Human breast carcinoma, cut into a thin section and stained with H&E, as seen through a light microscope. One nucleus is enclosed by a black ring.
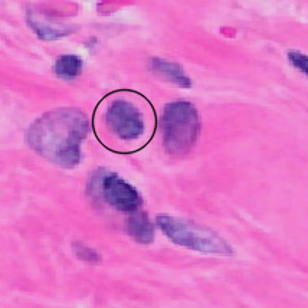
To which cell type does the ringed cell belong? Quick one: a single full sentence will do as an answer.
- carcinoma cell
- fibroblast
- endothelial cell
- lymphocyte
The cell type of the ringed cell is that of a lymphocyte.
